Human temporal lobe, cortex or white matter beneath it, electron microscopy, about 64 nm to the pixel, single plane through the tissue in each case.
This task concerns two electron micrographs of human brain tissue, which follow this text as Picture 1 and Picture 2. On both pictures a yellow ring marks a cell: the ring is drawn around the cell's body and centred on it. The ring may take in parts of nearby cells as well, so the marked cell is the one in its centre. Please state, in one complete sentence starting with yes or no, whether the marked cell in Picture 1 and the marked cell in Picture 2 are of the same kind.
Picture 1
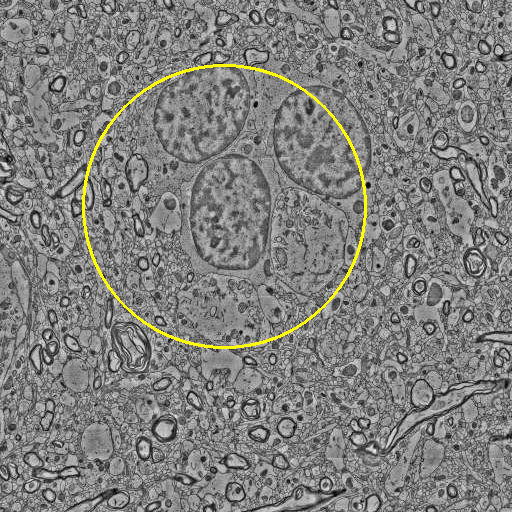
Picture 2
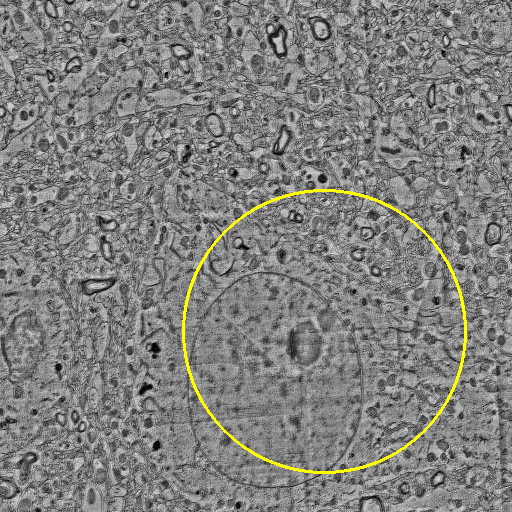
No, the marked cells in the two pictures are of two kinds.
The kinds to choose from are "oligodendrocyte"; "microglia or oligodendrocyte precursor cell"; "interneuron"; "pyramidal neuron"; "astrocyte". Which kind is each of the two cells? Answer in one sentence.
Of the two, the first cell is an oligodendrocyte and the second cell is a pyramidal neuron.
